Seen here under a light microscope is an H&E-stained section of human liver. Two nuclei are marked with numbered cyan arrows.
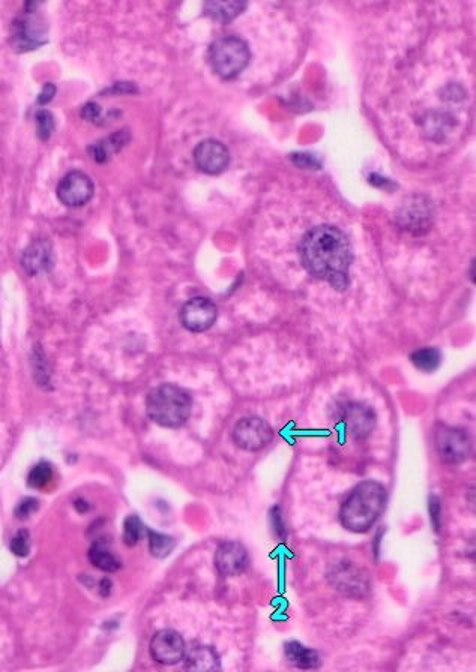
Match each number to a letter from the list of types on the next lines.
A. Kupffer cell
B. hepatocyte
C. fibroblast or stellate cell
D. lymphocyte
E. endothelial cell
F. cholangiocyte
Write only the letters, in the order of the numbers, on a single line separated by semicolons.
B; E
